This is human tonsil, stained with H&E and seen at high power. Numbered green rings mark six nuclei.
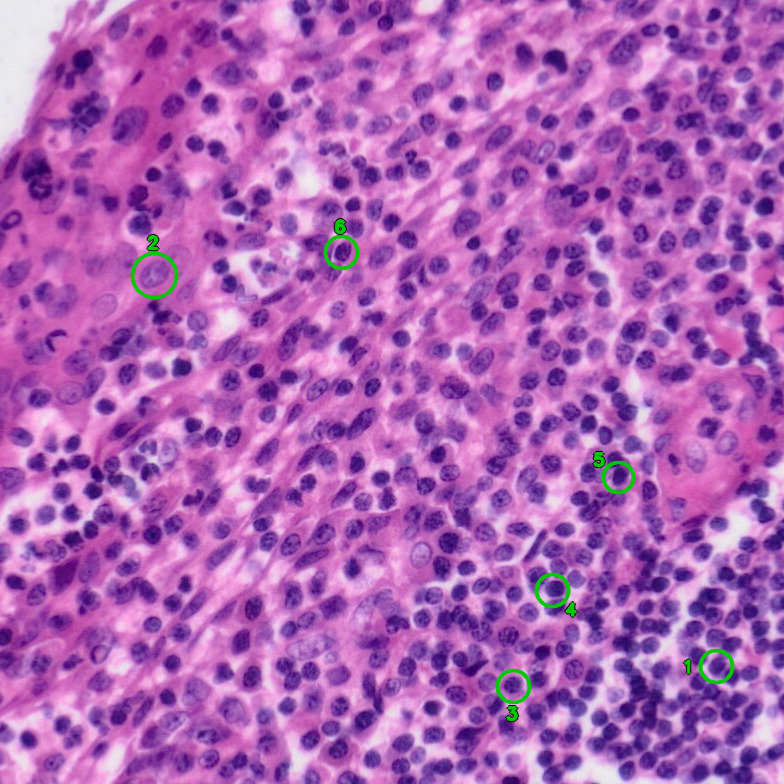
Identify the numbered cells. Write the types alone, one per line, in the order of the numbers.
small lymphocyte
squamous epithelial cell
plasma cell
small lymphocyte
small lymphocyte
plasma cell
